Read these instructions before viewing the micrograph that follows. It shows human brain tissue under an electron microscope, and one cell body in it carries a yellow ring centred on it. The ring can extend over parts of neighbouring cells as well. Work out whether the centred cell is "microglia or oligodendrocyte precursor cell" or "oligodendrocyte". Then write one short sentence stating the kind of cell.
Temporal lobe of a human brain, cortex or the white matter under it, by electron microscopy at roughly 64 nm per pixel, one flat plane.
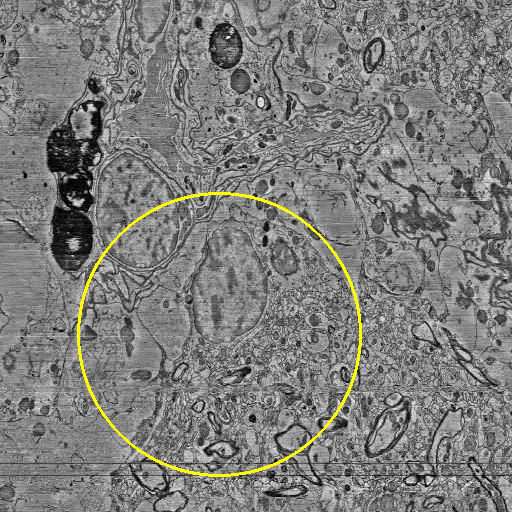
The ringed cell is an oligodendrocyte.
